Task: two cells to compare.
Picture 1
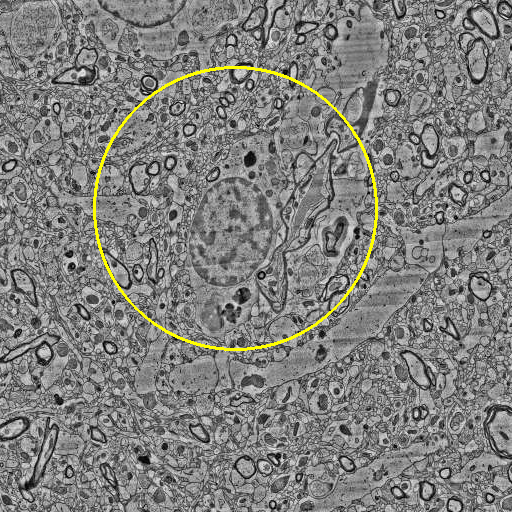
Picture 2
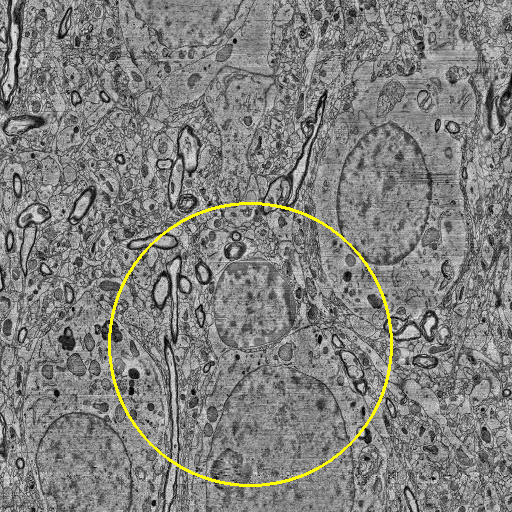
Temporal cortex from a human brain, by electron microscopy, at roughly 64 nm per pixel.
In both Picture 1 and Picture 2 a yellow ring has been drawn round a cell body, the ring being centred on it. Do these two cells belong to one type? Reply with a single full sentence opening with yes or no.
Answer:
No, the two cells at the ring centres in Picture 1 and Picture 2 are of two types.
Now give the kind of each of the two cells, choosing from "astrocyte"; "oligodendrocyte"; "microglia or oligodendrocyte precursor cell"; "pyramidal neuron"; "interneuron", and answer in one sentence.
The cell in the first picture is an oligodendrocyte, and the cell in the second is a microglial cell or oligodendrocyte precursor cell.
